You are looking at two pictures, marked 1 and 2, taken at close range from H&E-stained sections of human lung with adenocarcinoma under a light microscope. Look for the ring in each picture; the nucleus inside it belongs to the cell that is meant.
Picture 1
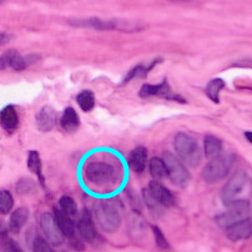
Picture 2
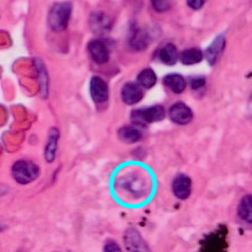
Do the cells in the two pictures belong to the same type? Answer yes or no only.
no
